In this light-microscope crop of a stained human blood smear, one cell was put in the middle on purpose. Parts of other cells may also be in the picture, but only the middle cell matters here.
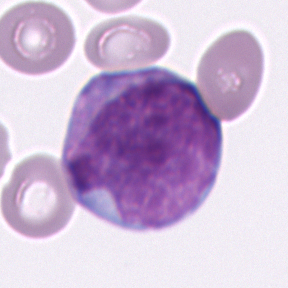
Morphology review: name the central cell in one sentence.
The cell found in the middle of this crop is an atypical promyelocyte.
